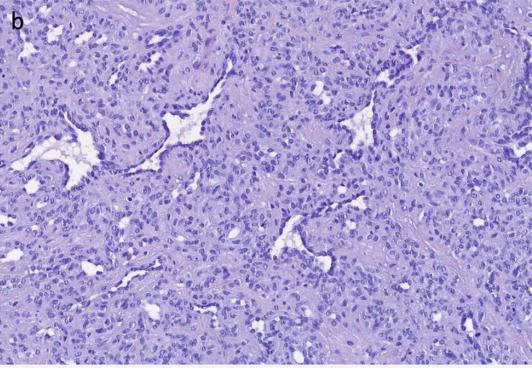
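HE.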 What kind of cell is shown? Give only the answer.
Oval-shaped cells with eosinophilic cytoplasm.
